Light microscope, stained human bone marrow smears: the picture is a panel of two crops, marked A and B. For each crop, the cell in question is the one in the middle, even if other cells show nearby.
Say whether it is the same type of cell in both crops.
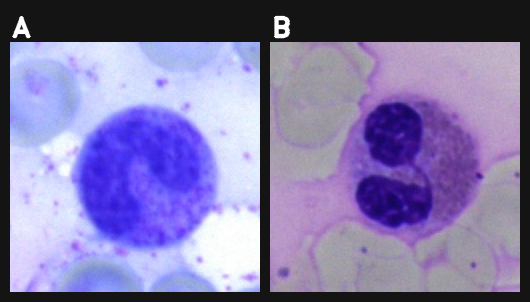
no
